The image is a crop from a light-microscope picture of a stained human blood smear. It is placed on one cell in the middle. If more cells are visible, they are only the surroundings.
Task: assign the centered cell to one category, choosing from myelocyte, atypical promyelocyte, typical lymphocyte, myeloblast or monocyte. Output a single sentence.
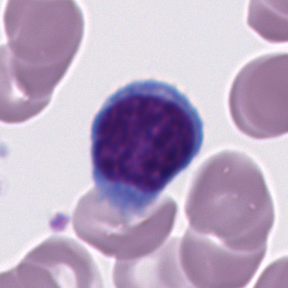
The cell in the exact centre of the crop is a typical lymphocyte.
